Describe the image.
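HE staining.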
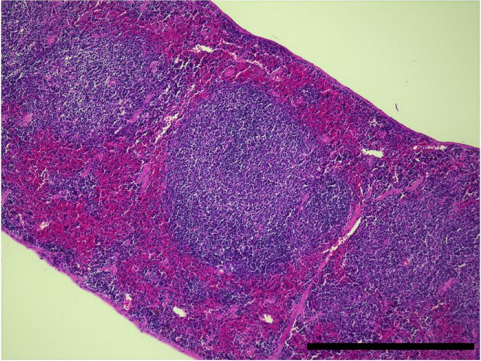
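This is a section of spleen showing its follicular structure at low magnification. A large rounded follicle of densely packed small cells with dark purple nuclei occupies the centre of the field, with a sharp border. Around it lies pink-red tissue rich in red cells, forming the red pulp, in which scattered purple cells and small vessels are seen. Parts of further follicles appear at the edges of the field. A thin smooth capsule lines one margin of the section, beyond which is empty background.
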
